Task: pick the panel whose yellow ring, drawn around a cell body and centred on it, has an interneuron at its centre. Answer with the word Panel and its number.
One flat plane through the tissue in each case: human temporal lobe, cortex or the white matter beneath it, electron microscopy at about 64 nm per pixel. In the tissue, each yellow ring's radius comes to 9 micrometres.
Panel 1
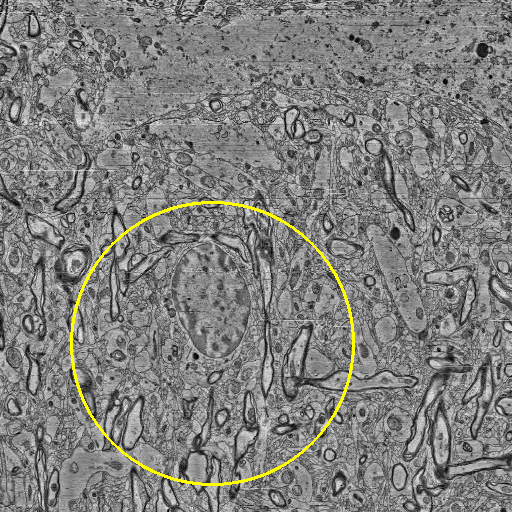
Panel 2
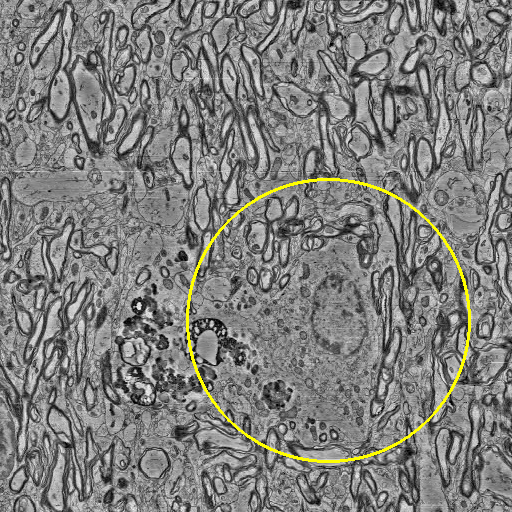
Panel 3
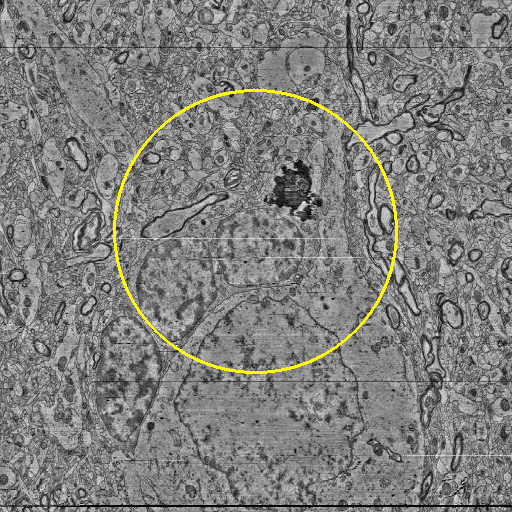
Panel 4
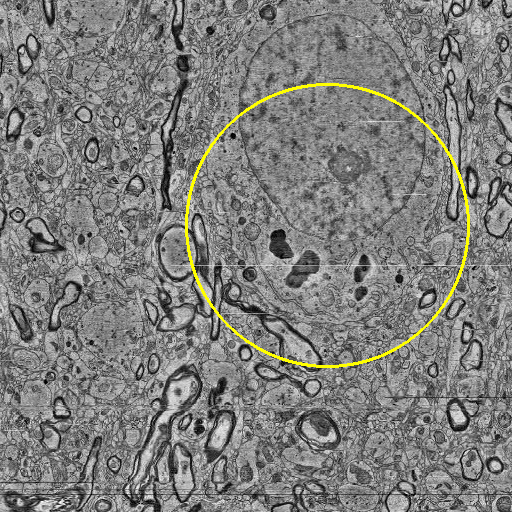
Panel 4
